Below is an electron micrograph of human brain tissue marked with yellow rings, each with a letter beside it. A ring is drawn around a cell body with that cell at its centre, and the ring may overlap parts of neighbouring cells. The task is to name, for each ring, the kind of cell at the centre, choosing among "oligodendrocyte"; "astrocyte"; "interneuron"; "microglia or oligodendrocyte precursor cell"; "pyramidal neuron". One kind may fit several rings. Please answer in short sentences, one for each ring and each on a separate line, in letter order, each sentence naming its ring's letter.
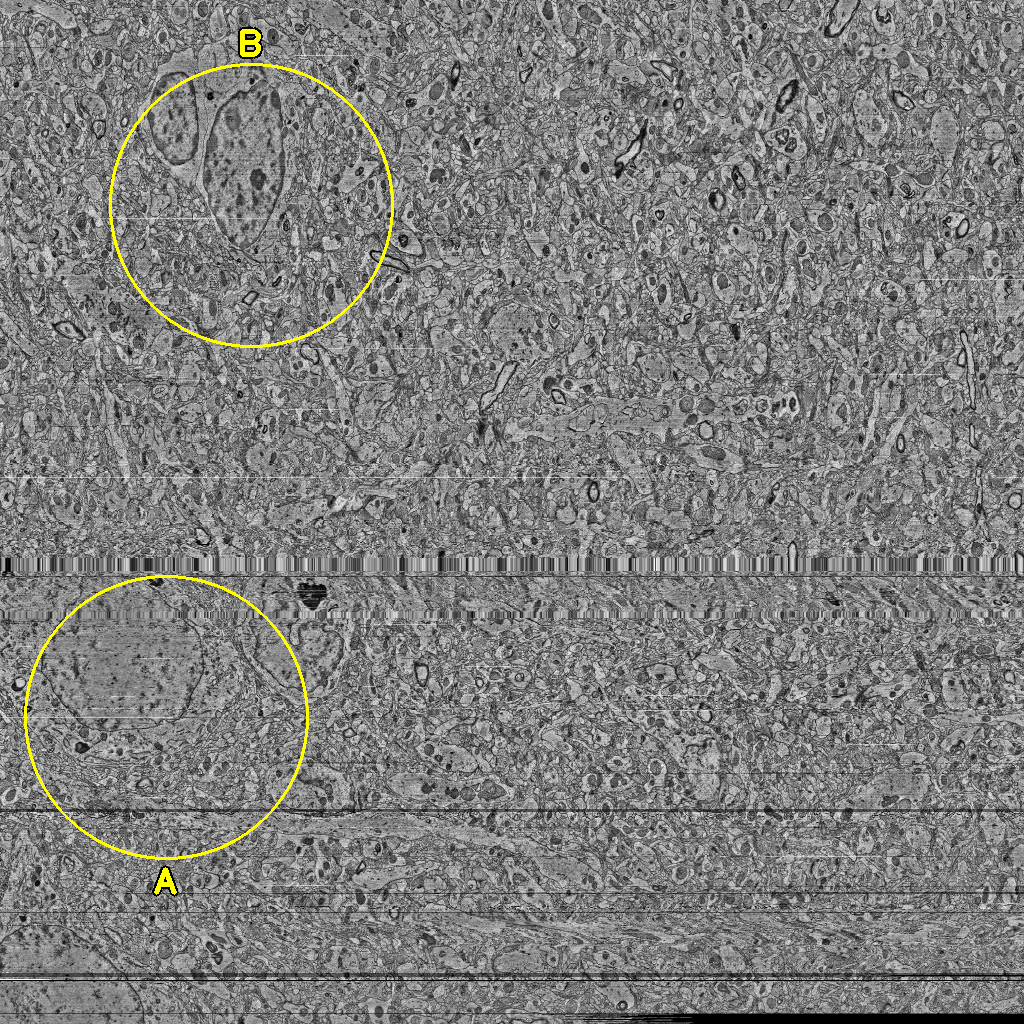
The ring with letter A is centred on a pyramidal neuron.
The ring with letter B is centred on a microglial cell or oligodendrocyte precursor cell.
